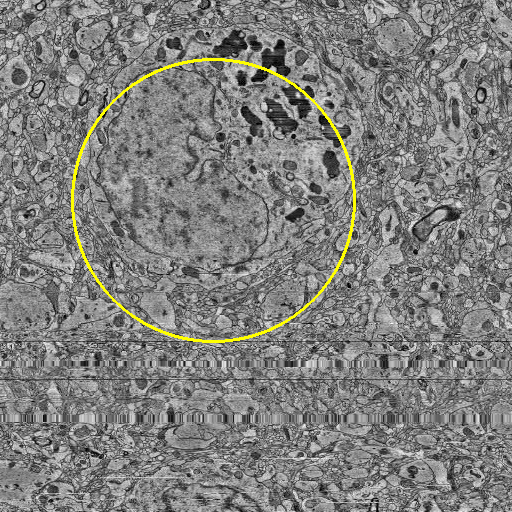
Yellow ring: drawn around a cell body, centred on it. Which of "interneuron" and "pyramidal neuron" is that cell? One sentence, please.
That cell body is from an interneuron.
